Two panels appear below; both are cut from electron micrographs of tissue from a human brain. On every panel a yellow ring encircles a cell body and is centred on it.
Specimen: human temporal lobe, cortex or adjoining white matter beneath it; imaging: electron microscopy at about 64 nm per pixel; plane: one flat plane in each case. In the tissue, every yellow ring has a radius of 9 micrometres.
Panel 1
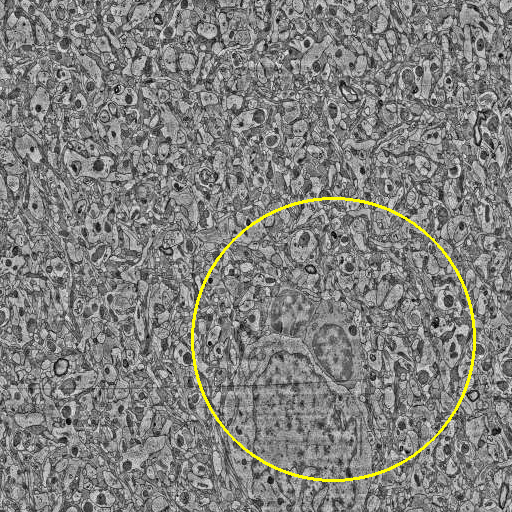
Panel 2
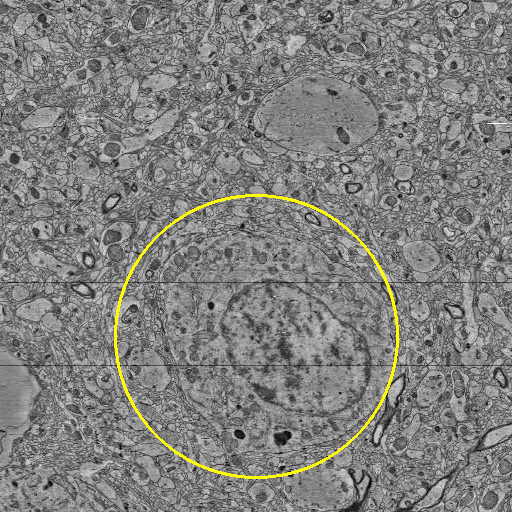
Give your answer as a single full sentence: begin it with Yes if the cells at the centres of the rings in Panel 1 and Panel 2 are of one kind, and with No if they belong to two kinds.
No, the cells in the middle of the rings in Panels 1 and 2 are of two kinds.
